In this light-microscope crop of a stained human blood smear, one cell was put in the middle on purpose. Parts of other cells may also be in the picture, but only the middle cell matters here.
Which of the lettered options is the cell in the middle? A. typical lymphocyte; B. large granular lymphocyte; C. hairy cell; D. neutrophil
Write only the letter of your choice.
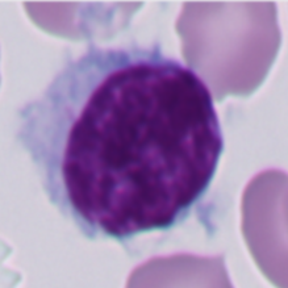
C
